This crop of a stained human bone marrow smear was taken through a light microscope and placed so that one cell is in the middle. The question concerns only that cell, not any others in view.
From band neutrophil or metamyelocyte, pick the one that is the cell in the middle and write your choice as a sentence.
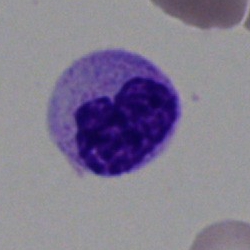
By type, the central cell of the crop is a band neutrophil.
